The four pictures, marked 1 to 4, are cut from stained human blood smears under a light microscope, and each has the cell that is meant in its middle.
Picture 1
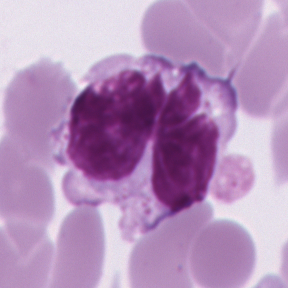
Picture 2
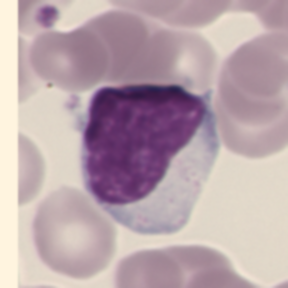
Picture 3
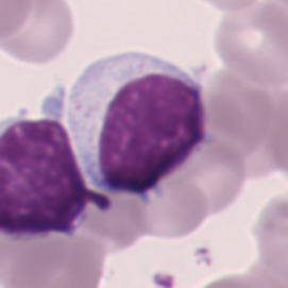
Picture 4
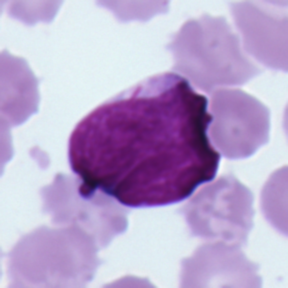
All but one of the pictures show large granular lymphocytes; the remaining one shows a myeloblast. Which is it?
4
